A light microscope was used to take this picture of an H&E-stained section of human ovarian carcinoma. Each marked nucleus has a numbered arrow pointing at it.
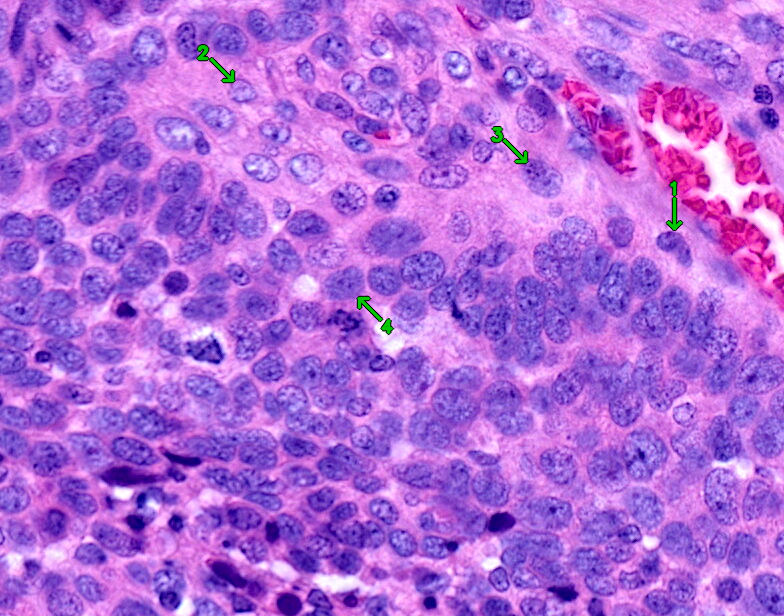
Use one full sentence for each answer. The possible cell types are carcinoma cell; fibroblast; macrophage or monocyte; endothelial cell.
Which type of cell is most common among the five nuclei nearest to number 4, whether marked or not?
Most of the five nuclei nearest to number 4 are those of carcinoma cells.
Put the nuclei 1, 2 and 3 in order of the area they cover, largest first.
Going from the biggest nucleus down to the smallest gives 3, 1, 2.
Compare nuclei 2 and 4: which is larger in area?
Of the two, number 4 is bigger and takes up about 2 times the area of number 2.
